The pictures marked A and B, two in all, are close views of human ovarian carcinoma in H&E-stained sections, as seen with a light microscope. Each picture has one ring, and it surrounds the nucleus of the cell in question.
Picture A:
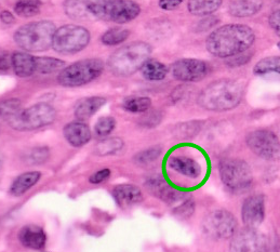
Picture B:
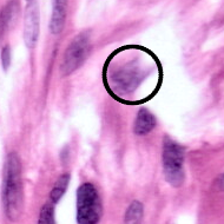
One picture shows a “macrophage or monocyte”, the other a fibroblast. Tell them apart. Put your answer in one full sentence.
Picture B shows a fibroblast, while picture A shows a “macrophage or monocyte”.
